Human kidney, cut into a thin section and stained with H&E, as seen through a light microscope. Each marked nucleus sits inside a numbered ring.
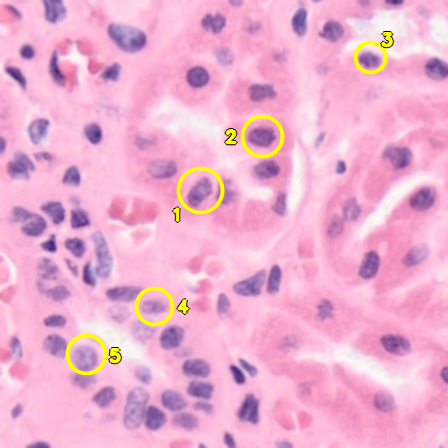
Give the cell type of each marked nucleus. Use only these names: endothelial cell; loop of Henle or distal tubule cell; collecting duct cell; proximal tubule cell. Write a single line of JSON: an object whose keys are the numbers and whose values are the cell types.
{"1": "proximal tubule cell", "2": "proximal tubule cell", "3": "loop of Henle or distal tubule cell", "4": "collecting duct cell", "5": "collecting duct cell"}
